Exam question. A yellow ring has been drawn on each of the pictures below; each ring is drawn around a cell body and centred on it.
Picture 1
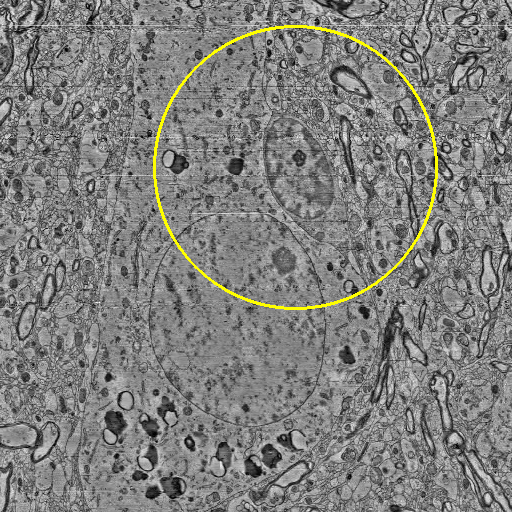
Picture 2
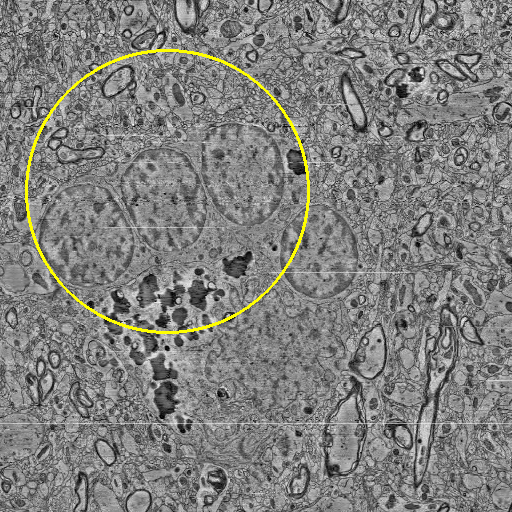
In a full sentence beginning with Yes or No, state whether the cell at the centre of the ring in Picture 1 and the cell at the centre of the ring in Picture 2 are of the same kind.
Yes, the two cells are of the same kind.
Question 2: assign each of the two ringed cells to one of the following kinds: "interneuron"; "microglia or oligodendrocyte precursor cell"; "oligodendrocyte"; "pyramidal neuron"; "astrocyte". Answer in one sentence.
Both pictures show an oligodendrocyte at the centre of the ring.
